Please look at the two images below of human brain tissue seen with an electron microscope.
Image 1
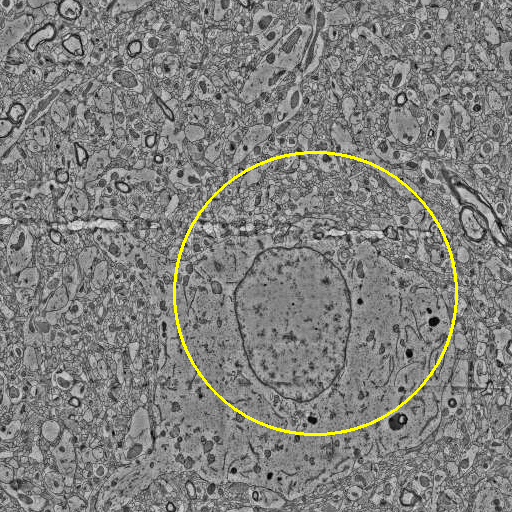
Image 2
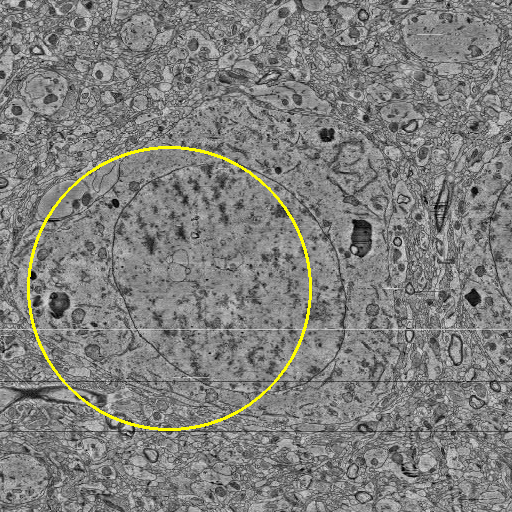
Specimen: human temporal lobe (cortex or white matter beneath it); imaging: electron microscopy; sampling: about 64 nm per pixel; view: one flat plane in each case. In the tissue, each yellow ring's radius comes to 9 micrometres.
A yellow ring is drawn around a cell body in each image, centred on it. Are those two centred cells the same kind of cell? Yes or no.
yes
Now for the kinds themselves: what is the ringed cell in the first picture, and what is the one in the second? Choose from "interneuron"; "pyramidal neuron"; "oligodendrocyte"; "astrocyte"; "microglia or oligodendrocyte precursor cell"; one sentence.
Both cells are the same kind, each one being a pyramidal neuron.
